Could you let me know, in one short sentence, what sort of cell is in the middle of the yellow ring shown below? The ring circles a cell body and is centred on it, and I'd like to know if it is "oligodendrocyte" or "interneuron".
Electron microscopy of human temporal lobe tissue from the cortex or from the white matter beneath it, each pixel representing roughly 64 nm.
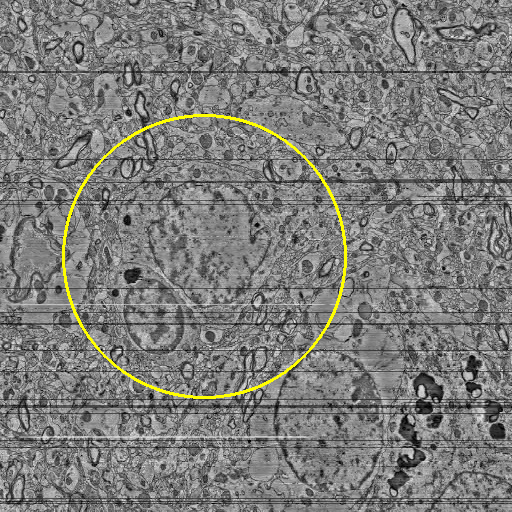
The ring circles the cell body of an interneuron.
